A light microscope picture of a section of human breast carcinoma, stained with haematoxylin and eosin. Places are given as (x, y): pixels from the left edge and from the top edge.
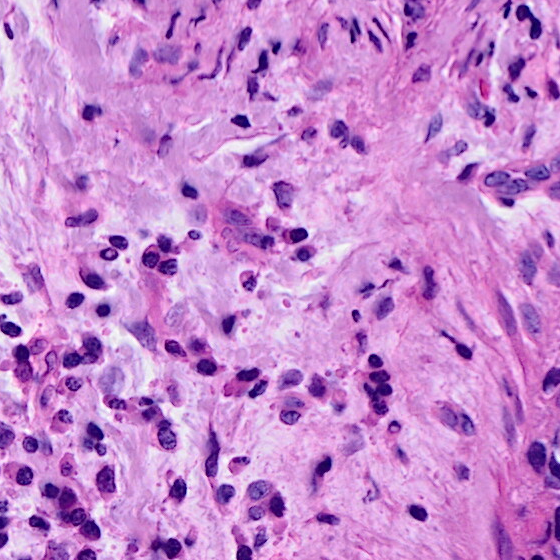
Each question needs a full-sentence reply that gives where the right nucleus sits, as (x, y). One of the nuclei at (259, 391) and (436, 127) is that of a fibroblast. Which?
The nucleus at (436, 127) is the member of the pair belonging to a fibroblast.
